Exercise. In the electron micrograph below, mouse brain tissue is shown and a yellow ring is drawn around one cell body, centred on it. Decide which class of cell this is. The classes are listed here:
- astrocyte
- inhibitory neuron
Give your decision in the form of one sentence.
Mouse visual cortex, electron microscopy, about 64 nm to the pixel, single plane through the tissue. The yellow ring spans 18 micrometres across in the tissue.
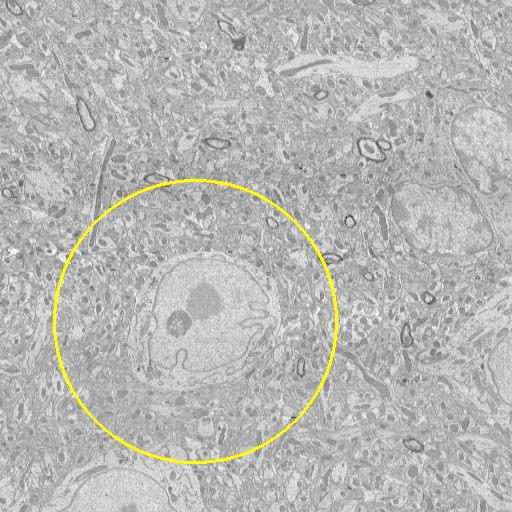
The cell body marked by the ring belongs to an inhibitory neuron.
